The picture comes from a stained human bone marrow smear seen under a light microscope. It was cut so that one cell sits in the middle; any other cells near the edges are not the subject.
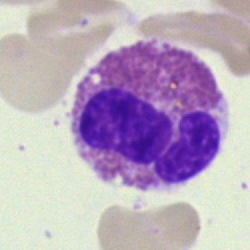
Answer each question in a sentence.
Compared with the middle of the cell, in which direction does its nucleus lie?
It is shifted toward the bottom of the cell.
